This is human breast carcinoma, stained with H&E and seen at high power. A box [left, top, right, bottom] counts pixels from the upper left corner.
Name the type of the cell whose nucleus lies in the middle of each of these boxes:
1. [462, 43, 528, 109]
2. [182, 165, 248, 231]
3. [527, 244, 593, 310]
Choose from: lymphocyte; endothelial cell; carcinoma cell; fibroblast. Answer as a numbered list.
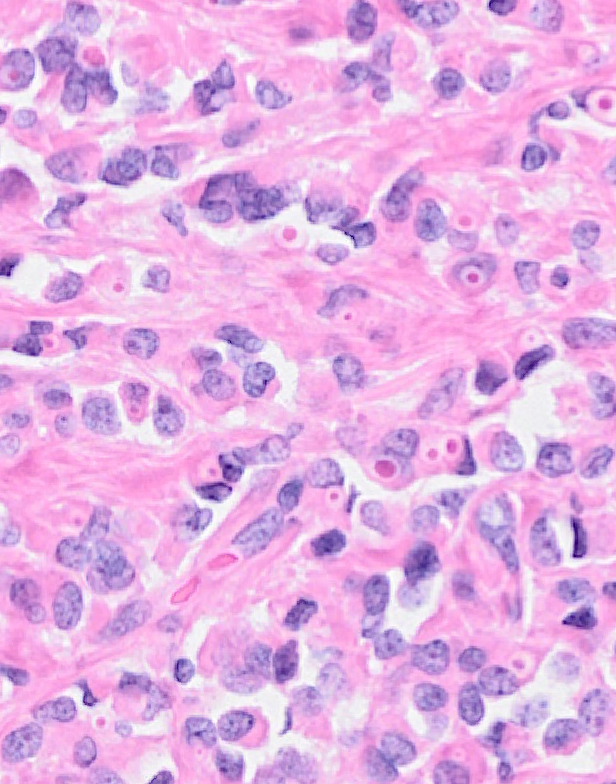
1. carcinoma cell
2. carcinoma cell
3. lymphocyte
